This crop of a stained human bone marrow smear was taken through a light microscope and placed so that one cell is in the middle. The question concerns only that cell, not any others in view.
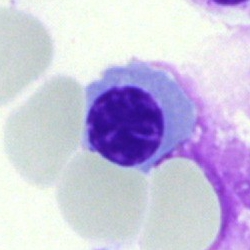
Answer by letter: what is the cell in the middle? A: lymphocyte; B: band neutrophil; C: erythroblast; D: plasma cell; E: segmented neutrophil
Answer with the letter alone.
C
